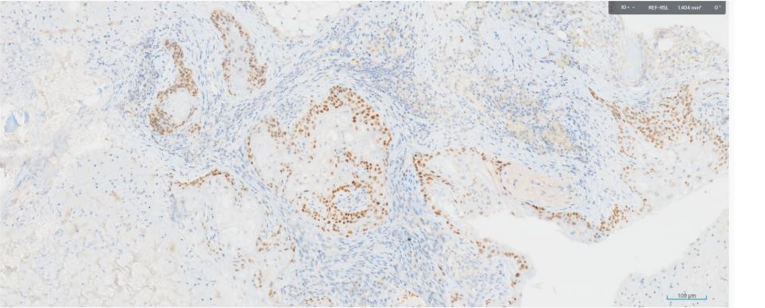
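This section shows nests and cords of tumour cells within a fibrous stroma. Within the nests the staining is strongest at the periphery in places, and some cells with paler cytoplasm in the centre of the nests show weaker or no brown nuclear colour.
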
